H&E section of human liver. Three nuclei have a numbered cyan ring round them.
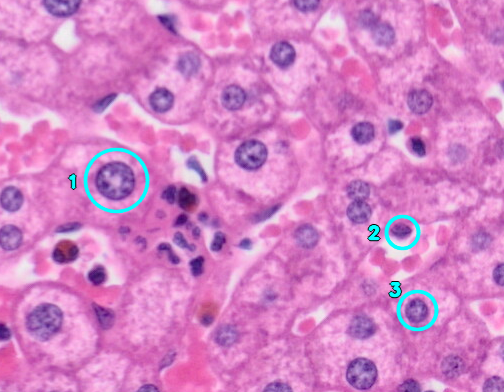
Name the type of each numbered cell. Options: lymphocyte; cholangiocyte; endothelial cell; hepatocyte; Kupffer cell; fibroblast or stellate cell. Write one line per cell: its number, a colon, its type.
1: hepatocyte
2: Kupffer cell
3: hepatocyte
